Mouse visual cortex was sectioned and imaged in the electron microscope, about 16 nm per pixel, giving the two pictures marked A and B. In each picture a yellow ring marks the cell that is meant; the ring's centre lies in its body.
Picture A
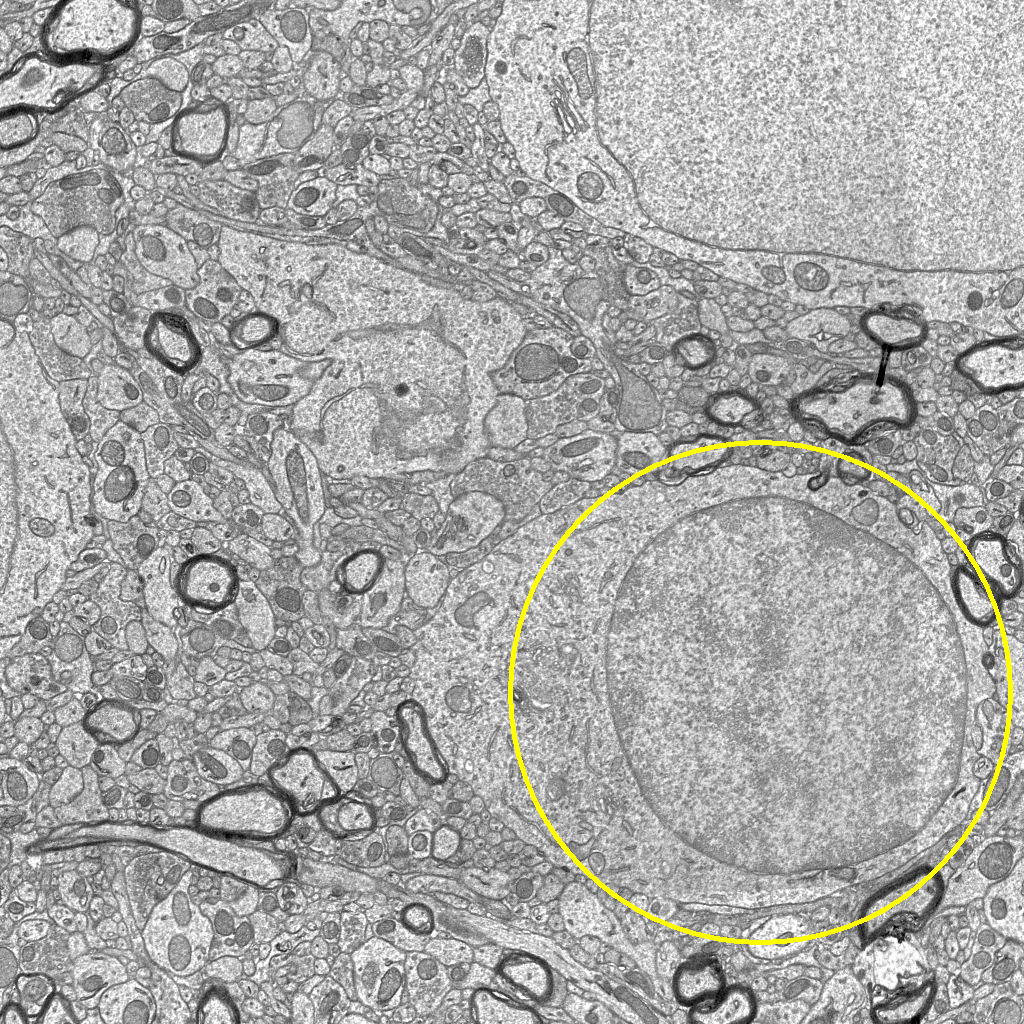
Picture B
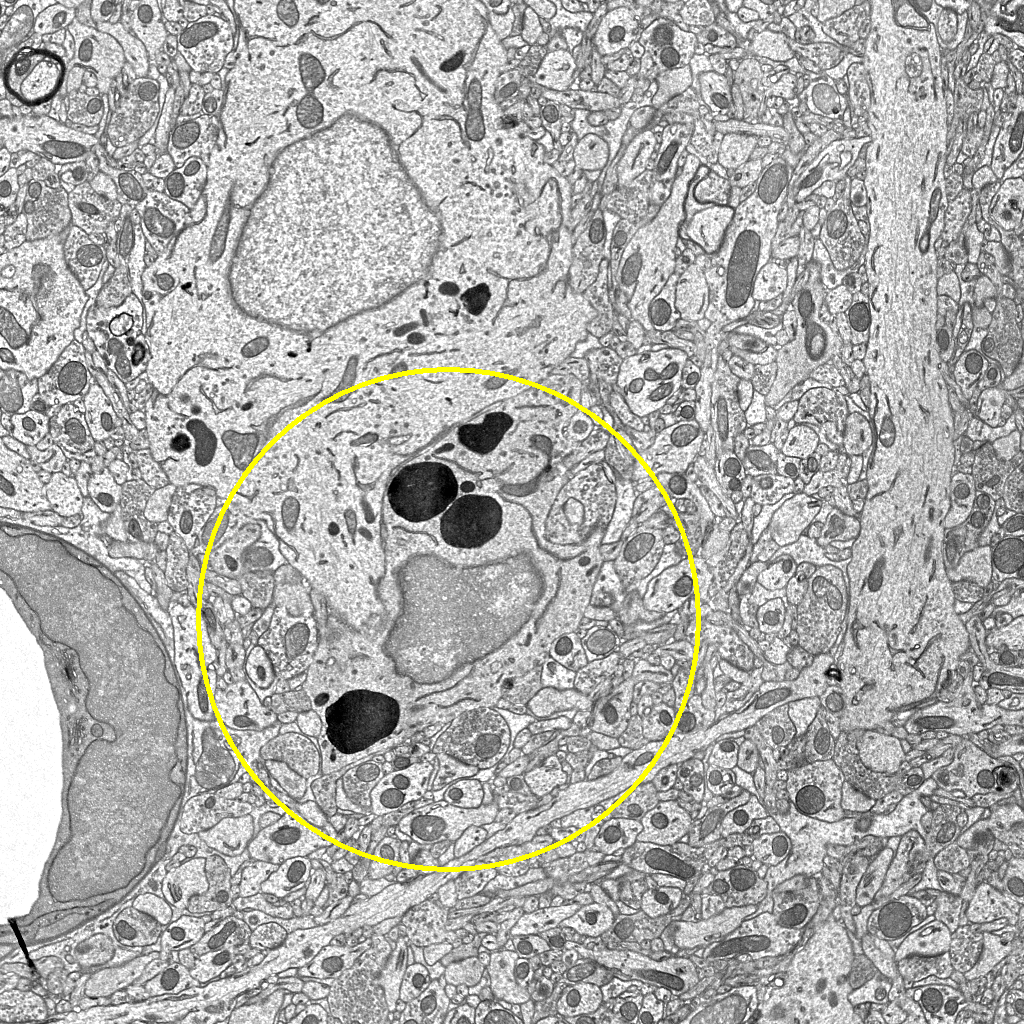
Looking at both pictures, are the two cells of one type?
No, picture A shows an oligodendrocyte and picture B shows a microglial cell.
